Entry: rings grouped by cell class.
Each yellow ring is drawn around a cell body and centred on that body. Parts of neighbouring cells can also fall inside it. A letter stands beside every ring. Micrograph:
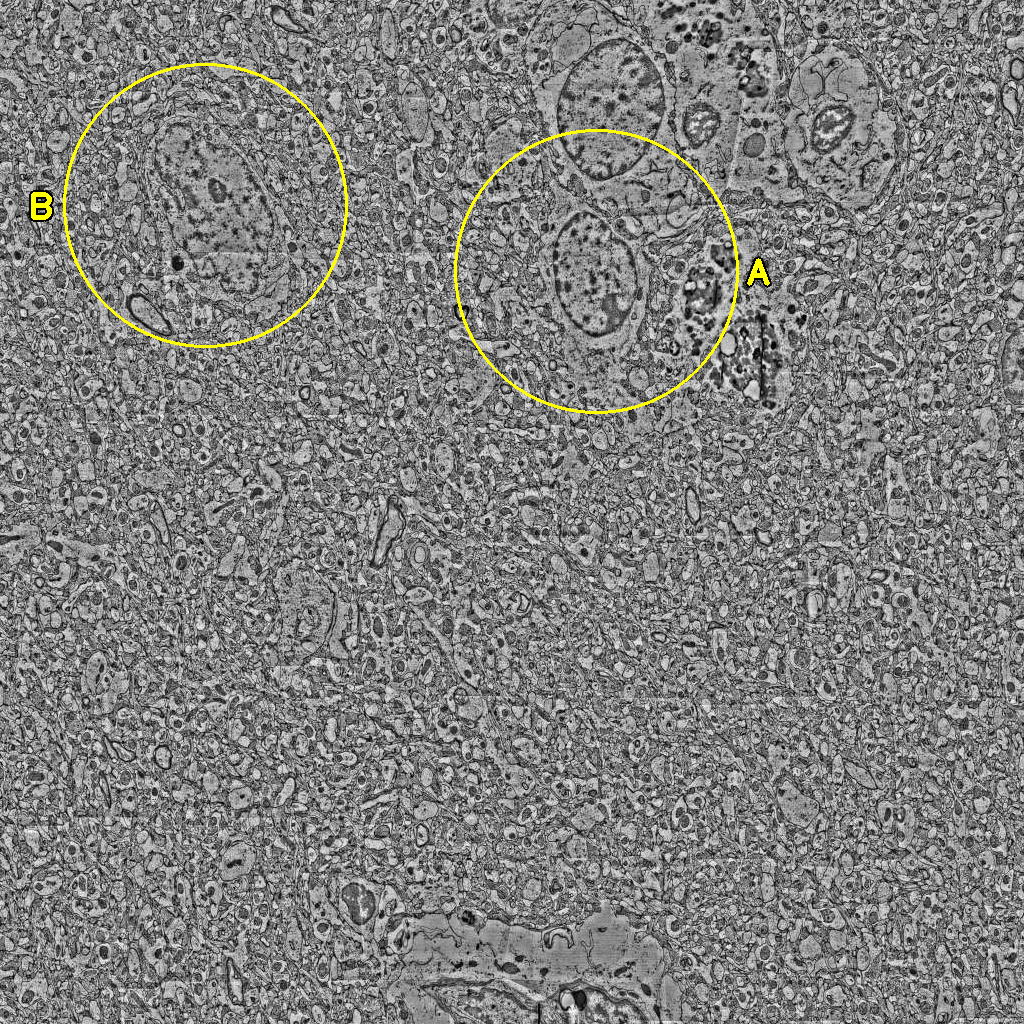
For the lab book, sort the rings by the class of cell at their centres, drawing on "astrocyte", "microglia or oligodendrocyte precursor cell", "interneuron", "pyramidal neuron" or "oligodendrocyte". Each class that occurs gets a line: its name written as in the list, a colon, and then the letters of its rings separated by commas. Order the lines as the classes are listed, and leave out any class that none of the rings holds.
astrocyte: A
interneuron: B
